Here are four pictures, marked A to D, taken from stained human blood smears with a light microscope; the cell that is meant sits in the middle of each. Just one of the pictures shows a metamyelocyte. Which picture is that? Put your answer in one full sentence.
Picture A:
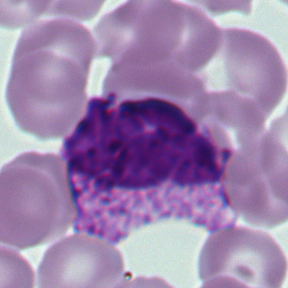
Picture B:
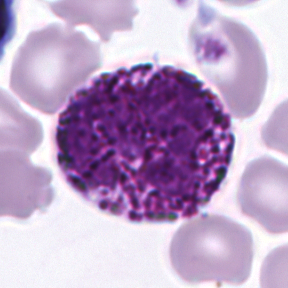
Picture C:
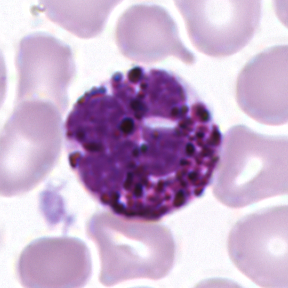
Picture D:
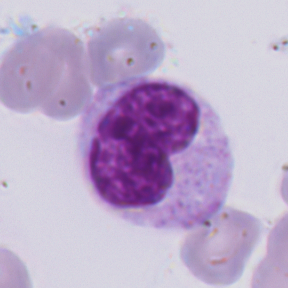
Picture D shows the metamyelocyte.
